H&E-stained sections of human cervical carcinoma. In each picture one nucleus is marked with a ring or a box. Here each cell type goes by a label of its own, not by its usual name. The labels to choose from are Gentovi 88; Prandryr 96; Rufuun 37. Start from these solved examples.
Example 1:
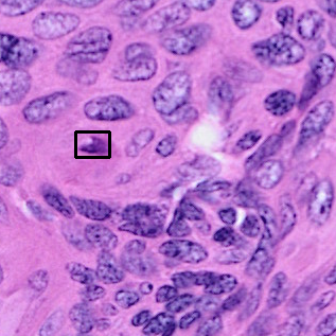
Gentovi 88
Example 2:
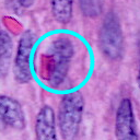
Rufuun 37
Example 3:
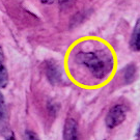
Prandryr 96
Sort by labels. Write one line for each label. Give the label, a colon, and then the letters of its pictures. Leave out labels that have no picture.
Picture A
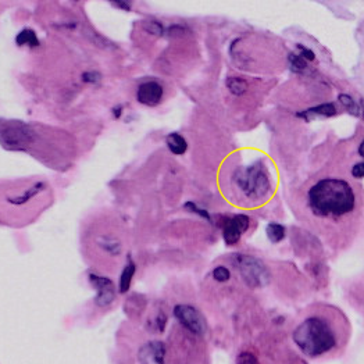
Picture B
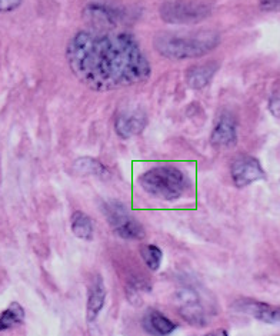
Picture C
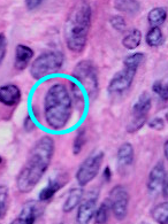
Prandryr 96: A, B
Rufuun 37: C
